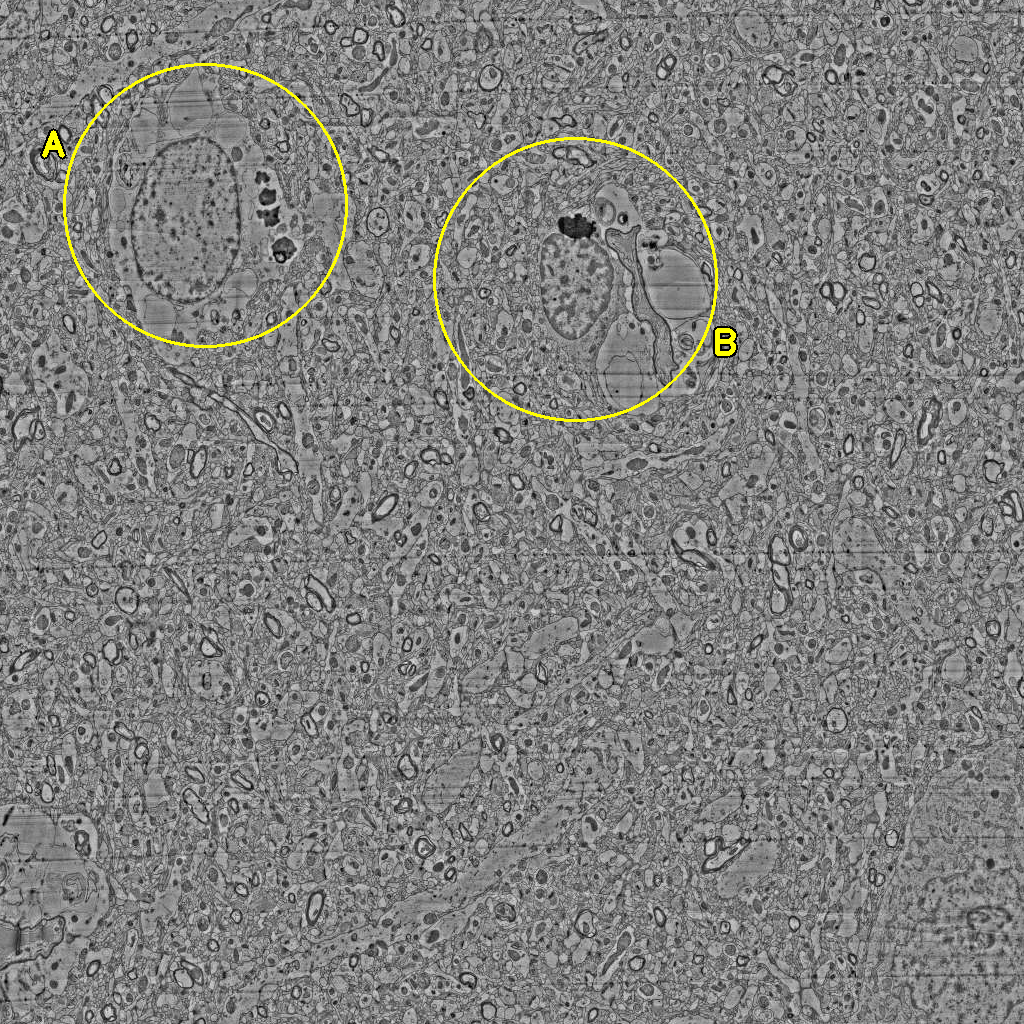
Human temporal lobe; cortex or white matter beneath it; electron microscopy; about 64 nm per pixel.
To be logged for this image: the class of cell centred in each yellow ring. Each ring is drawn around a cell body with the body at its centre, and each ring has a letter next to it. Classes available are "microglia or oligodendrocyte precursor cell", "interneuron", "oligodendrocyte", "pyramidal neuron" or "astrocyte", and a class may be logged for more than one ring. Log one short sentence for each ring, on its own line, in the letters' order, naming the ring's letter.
The class recorded for ring A is an astrocyte.
The class recorded for ring B is an oligodendrocyte.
